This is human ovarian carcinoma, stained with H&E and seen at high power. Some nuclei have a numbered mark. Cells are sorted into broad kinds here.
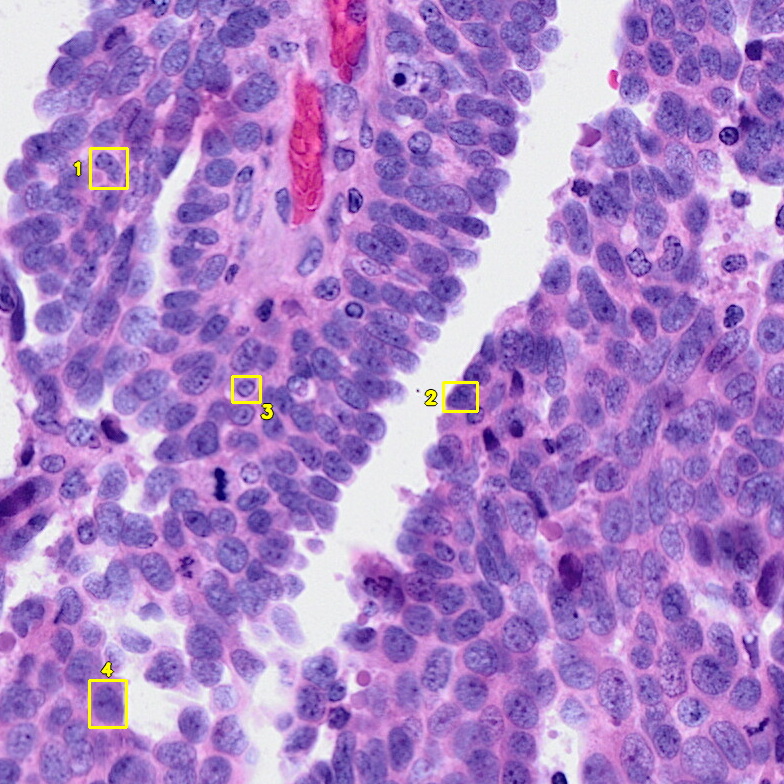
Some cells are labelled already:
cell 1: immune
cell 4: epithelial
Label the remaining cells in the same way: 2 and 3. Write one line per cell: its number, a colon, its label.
2: epithelial
3: immune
